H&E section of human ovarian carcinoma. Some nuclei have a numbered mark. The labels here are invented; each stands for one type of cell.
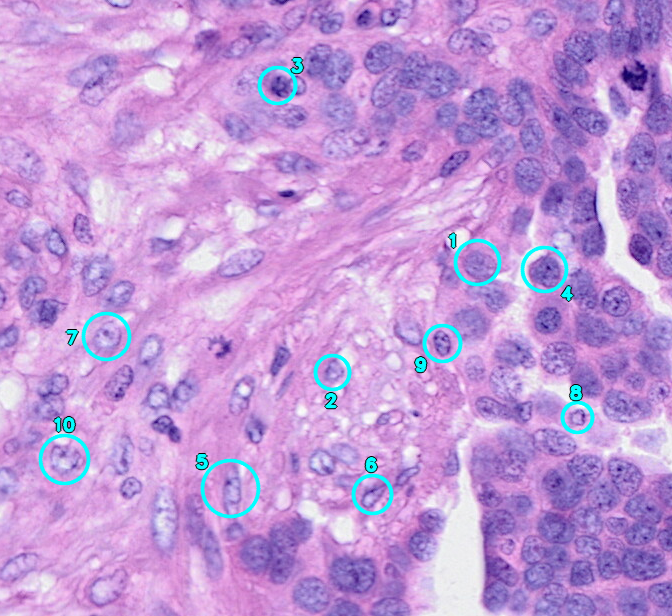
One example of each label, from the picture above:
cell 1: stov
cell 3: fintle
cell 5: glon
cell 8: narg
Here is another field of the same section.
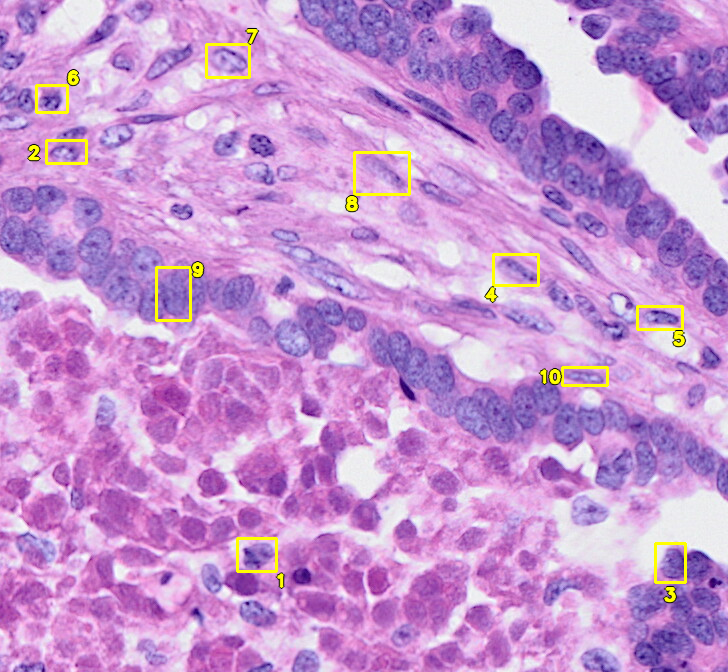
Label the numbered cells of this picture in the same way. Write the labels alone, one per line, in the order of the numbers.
narg
glon
stov
glon
glon
fintle
glon
glon
stov
glon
